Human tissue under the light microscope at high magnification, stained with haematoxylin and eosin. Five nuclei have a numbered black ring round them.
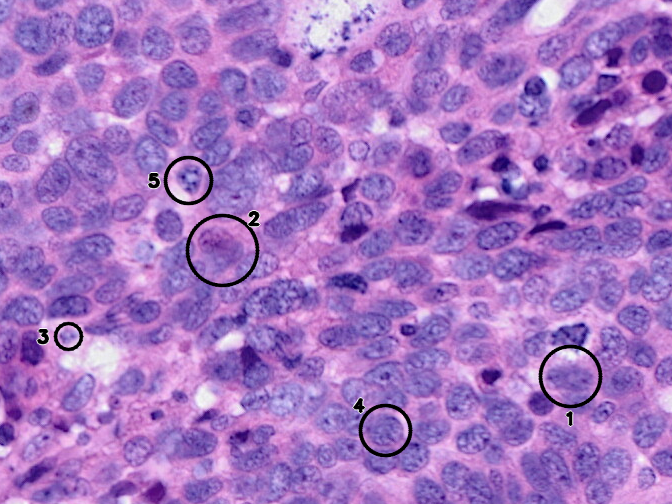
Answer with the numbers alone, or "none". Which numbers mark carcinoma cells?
1, 2, 4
